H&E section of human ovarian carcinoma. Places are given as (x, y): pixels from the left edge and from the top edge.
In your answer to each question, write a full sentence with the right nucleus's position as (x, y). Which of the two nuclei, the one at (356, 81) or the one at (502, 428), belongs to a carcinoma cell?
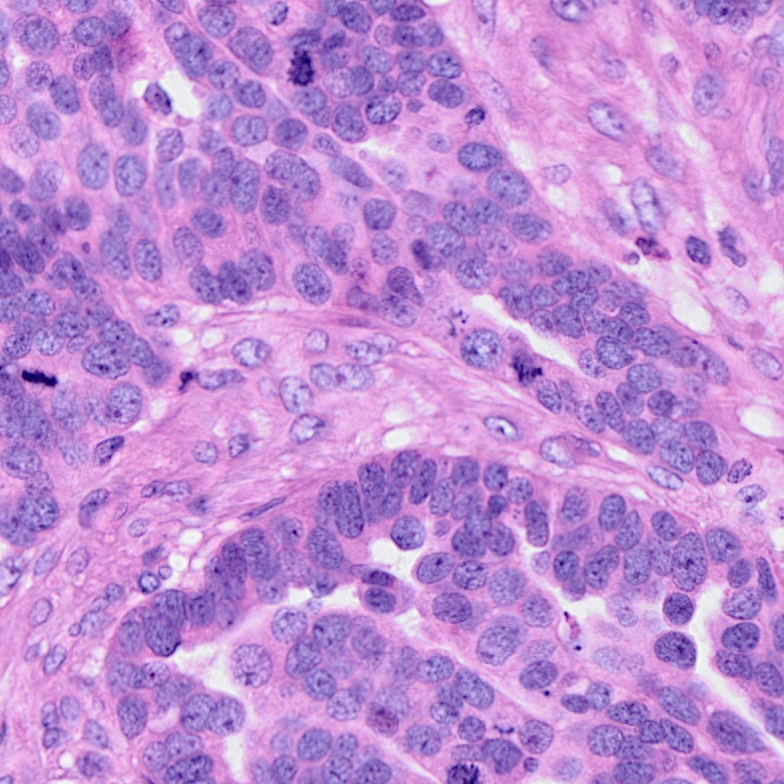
The nucleus that sits at (356, 81) is the nucleus of a carcinoma cell.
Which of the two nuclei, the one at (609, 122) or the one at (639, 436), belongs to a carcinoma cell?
The nucleus of the pair that lies within a carcinoma cell is at (639, 436).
